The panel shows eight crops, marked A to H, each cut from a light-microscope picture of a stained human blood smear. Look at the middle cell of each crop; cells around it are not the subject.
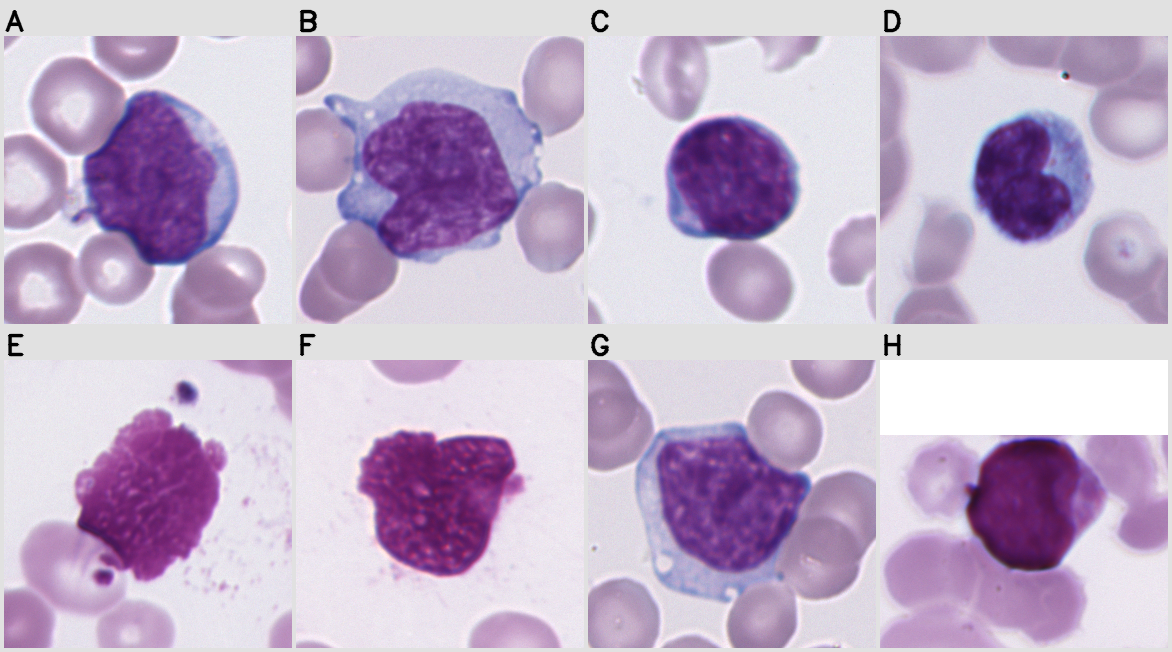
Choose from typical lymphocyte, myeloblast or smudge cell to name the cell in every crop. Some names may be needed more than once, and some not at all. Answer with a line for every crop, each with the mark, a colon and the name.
A: myeloblast
B: myeloblast
C: myeloblast
D: typical lymphocyte
E: smudge cell
F: smudge cell
G: myeloblast
H: myeloblast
